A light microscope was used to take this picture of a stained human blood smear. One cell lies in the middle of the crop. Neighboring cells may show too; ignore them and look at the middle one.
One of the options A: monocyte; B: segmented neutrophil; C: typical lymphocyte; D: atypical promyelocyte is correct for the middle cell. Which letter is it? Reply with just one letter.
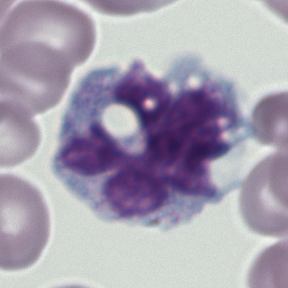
A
